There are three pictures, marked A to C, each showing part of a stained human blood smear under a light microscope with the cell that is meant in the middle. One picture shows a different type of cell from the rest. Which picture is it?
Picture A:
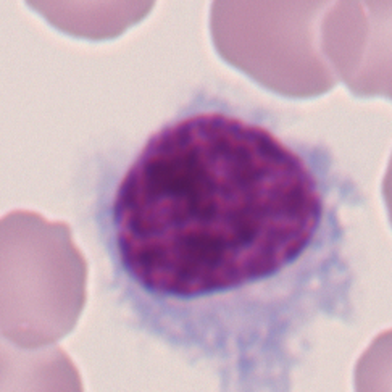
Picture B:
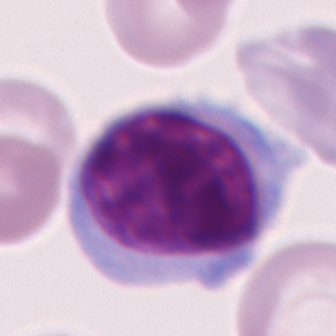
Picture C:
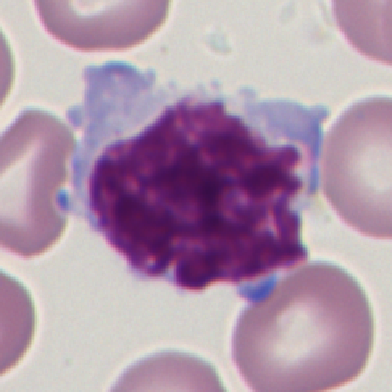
A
